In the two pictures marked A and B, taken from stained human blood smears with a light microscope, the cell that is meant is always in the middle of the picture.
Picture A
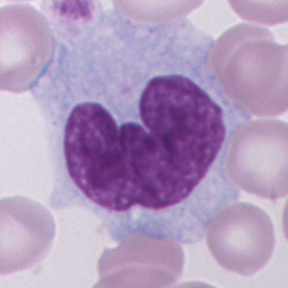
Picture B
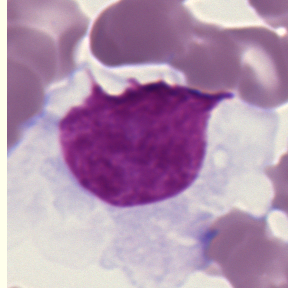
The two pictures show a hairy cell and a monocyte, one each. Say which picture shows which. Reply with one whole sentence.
The cell in picture A is a monocyte, and the one in picture B is a hairy cell.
